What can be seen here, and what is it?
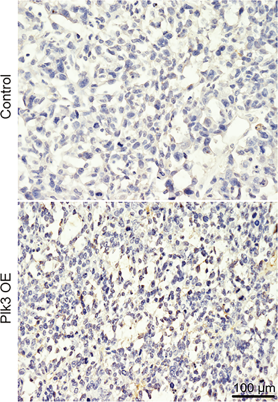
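These are sections of tumor tissue made up of densely packed tumor cells, with small brown-stained cells scattered among them. The tumor cells have oval to irregular nuclei stained blue and pale cytoplasm. In the upper image the tissue looks looser, with pale clear spaces between the cells. The lower image is more cellular, and small brown-stained cells are more frequent there, lying singly between the tumor cells.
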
